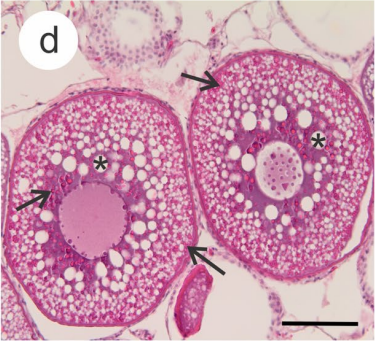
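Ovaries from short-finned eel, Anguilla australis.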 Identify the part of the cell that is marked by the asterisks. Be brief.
oil droplets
